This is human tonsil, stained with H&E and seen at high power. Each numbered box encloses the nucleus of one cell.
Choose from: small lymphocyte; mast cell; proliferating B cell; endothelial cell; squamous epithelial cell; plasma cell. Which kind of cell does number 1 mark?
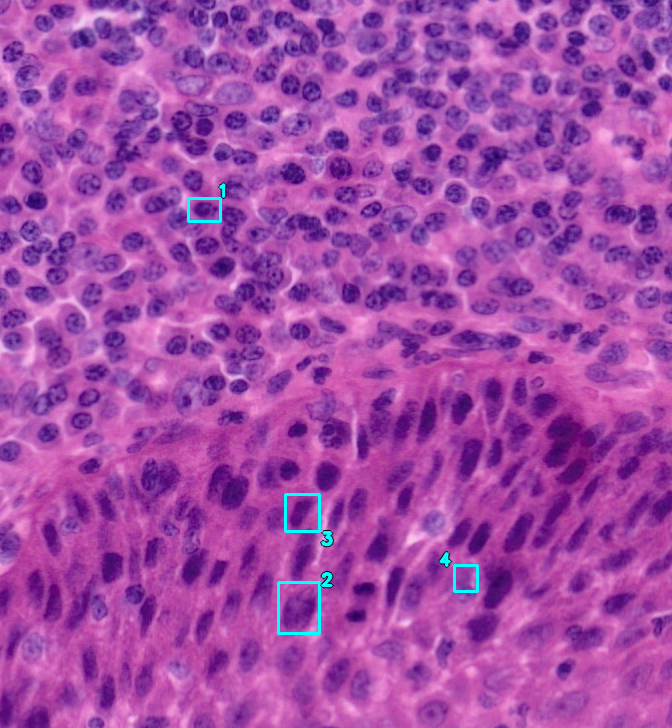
plasma cell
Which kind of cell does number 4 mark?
squamous epithelial cell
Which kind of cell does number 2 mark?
squamous epithelial cell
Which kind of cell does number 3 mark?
squamous epithelial cell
